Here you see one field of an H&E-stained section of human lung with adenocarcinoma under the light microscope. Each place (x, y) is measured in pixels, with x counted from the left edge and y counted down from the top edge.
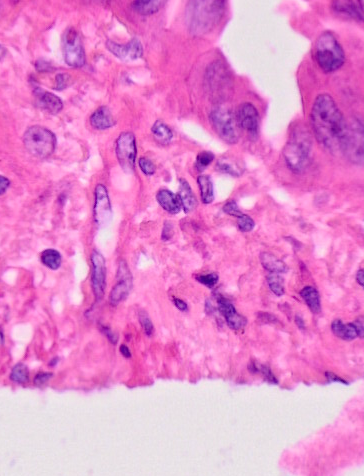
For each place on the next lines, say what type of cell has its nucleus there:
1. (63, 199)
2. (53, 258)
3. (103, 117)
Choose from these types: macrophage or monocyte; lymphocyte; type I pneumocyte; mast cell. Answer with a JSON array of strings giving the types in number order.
["macrophage or monocyte", "lymphocyte", "mast cell"]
